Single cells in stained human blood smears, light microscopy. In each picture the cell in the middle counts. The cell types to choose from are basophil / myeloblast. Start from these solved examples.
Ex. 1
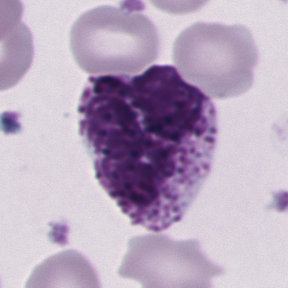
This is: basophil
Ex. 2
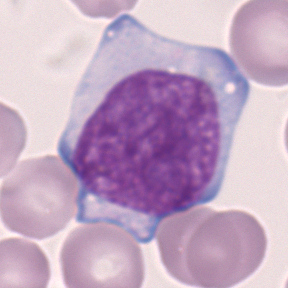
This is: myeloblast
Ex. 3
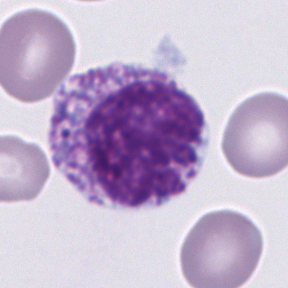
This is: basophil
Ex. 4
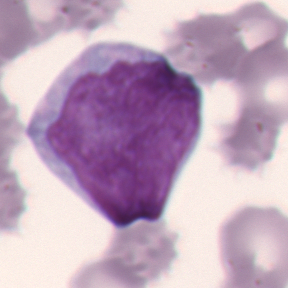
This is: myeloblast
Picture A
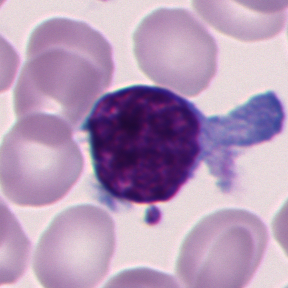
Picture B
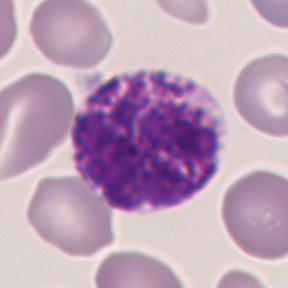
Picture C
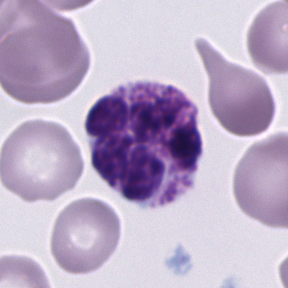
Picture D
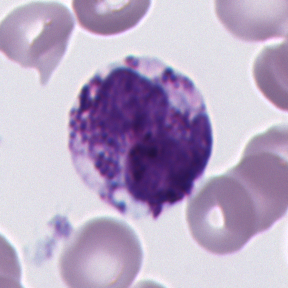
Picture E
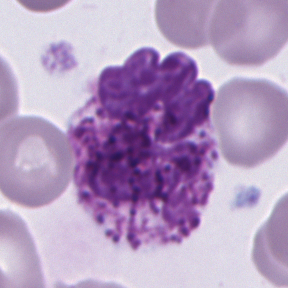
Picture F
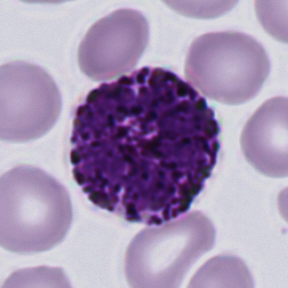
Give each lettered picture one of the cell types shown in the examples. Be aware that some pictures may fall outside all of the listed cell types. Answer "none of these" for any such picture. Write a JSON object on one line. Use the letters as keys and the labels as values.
{"A": "none of these", "B": "basophil", "C": "basophil", "D": "basophil", "E": "basophil", "F": "basophil"}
